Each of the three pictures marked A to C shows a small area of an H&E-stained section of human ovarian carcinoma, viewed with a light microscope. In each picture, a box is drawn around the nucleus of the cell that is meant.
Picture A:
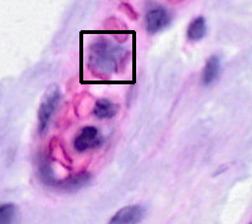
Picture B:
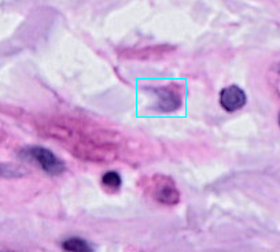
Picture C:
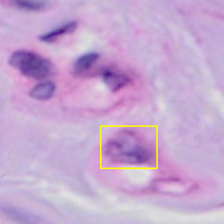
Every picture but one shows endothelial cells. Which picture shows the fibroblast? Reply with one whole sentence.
Picture B is the one that shows the fibroblast.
